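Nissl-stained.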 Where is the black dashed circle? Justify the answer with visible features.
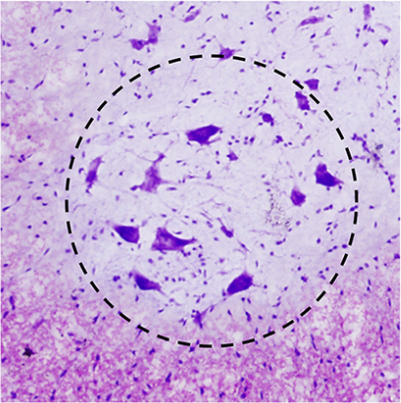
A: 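The circle surrounds a group of large multipolar neurons in grey matter.
Ventral horn.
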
